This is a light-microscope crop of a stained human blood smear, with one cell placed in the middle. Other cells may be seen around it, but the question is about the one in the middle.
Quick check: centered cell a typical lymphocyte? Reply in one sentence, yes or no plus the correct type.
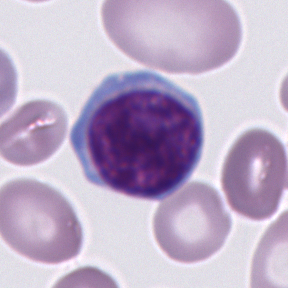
Yes, the cell in the middle is recognised as a typical lymphocyte.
